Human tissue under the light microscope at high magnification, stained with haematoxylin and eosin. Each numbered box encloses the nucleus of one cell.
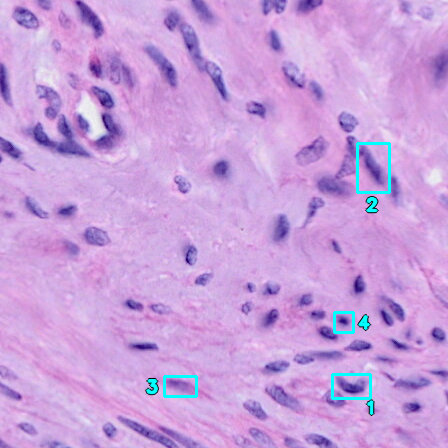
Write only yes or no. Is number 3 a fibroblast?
no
